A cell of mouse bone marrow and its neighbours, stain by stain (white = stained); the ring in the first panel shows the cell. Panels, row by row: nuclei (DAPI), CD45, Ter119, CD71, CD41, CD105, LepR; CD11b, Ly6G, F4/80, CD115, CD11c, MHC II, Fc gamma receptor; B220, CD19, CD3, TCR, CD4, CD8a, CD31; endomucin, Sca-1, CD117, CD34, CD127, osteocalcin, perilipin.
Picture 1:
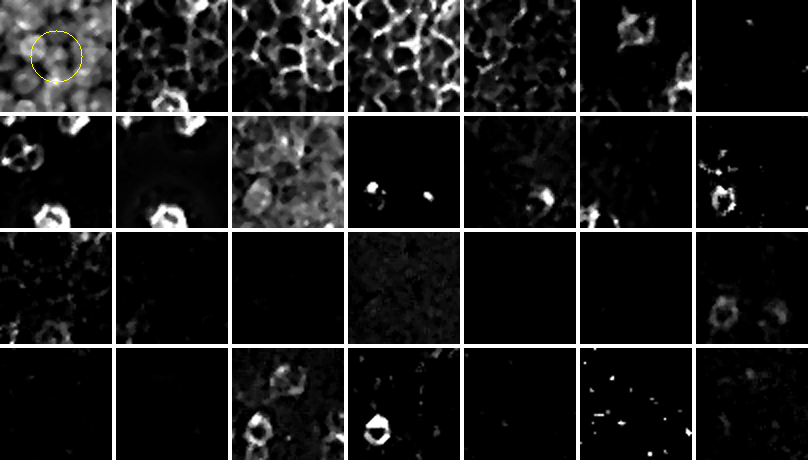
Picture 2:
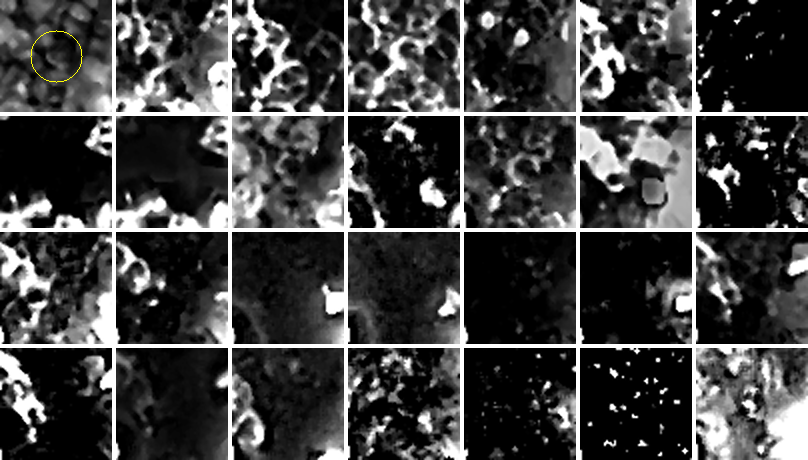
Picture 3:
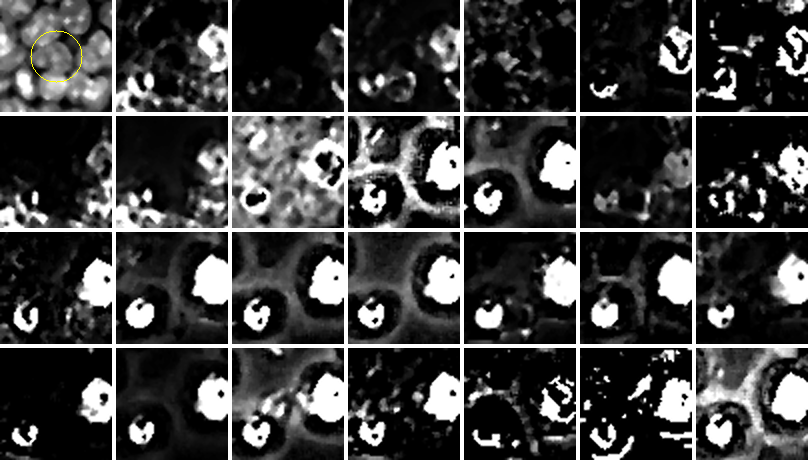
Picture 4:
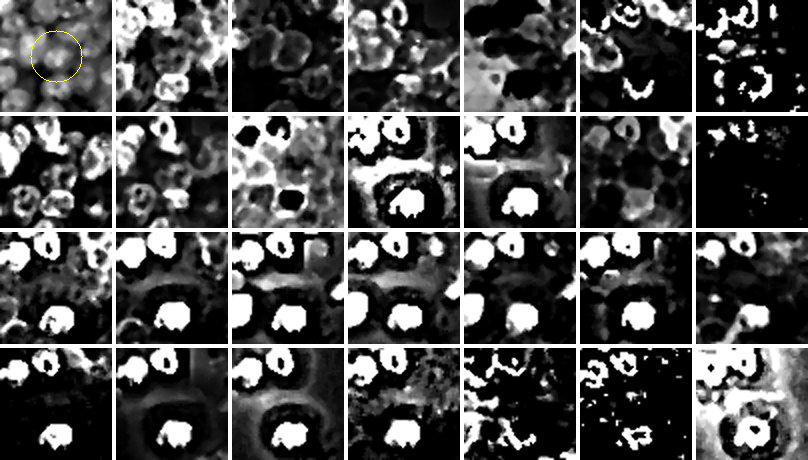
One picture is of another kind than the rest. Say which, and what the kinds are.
Picture 3 shows a granulocyte-monocyte progenitor; the rest show erythroblasts.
